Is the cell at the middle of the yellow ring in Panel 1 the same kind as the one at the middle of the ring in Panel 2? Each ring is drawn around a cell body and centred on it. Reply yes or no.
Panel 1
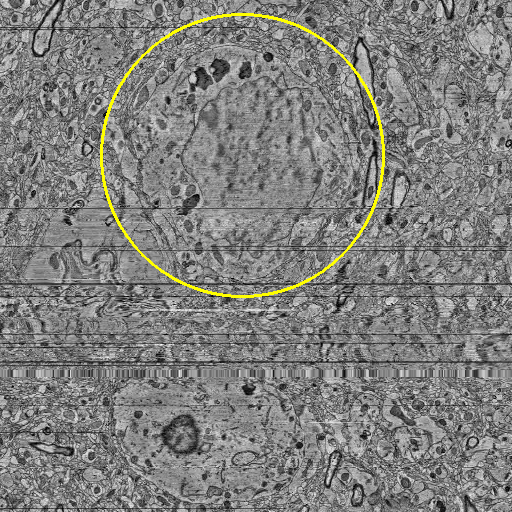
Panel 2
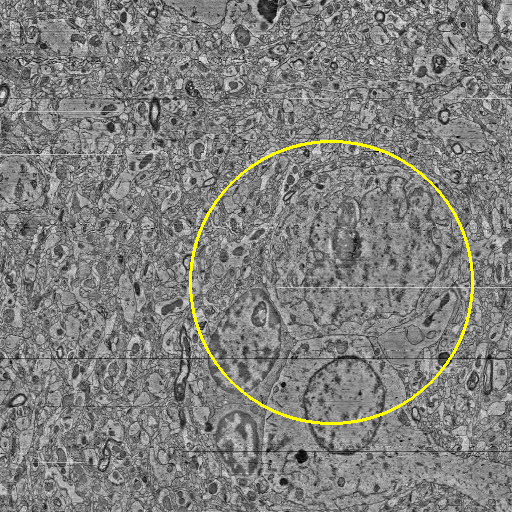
yes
